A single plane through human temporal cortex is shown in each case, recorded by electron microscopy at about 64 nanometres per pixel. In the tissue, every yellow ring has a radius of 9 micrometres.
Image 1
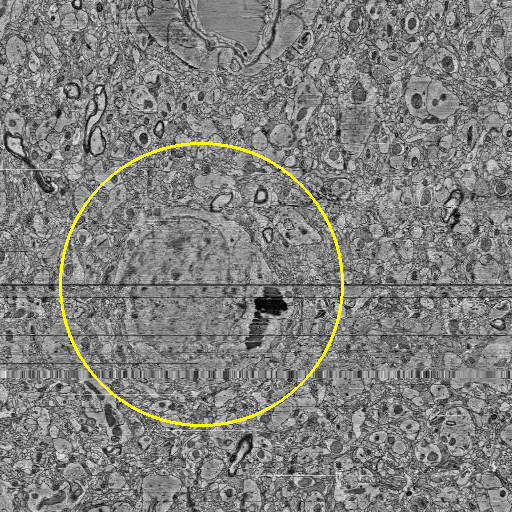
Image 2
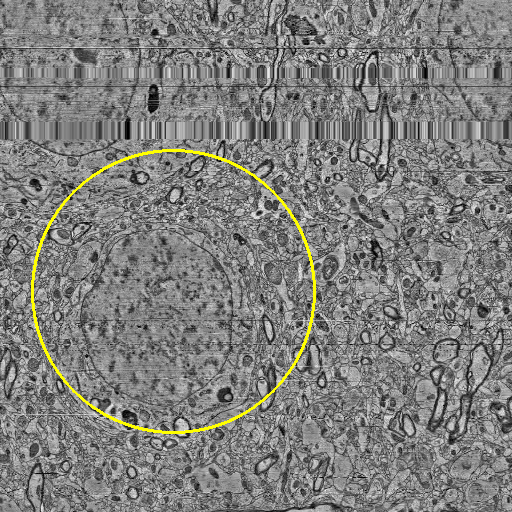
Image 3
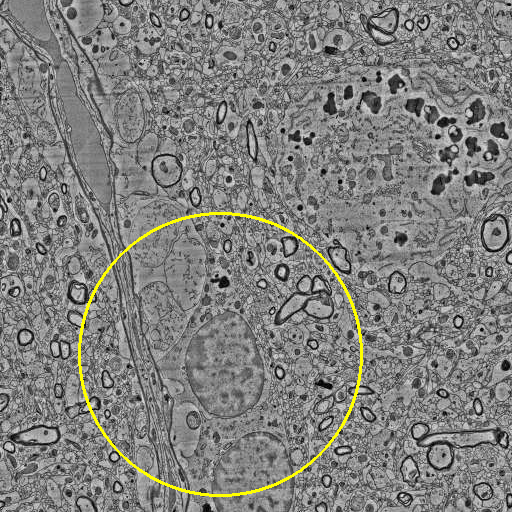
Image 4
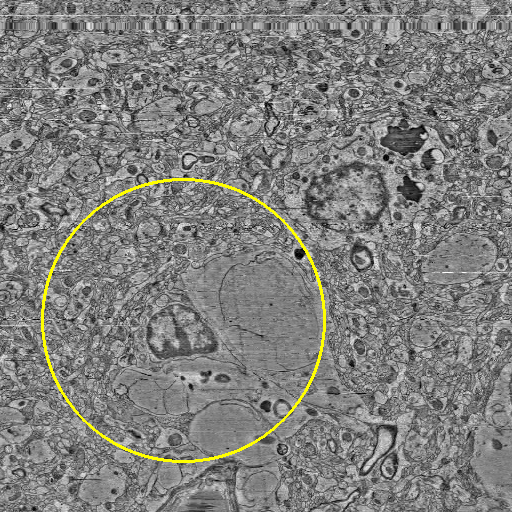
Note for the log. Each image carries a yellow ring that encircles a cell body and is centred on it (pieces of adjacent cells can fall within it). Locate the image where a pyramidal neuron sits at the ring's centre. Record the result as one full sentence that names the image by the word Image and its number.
Image 2 has the wanted cell sitting at the centre of its ring.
